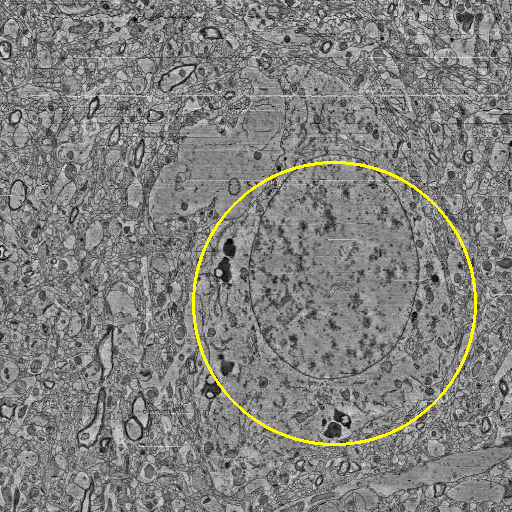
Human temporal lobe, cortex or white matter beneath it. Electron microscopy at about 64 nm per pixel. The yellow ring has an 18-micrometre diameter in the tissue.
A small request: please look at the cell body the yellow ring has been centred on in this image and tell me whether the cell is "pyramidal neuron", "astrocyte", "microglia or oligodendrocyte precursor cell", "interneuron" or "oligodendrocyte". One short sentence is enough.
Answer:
The cell marked by the ring is a pyramidal neuron.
